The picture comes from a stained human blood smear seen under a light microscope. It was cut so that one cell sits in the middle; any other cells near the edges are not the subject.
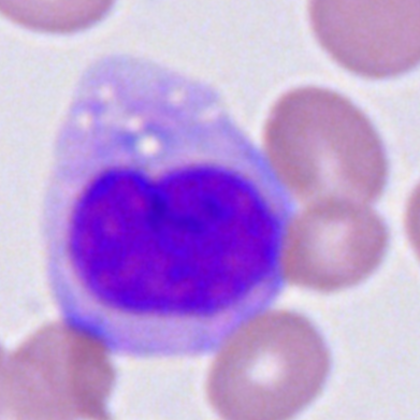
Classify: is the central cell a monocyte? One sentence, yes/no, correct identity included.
Yes, the cell occupying the middle of the crop is a monocyte.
